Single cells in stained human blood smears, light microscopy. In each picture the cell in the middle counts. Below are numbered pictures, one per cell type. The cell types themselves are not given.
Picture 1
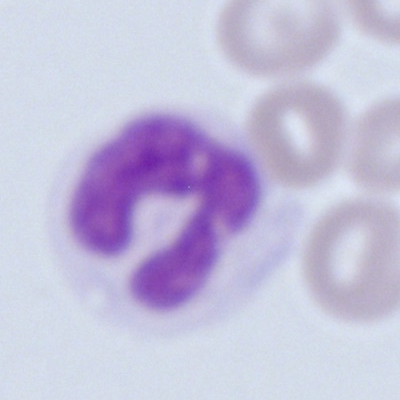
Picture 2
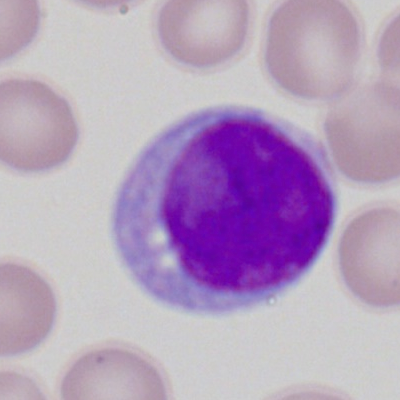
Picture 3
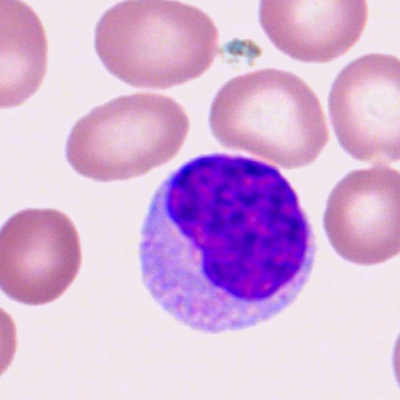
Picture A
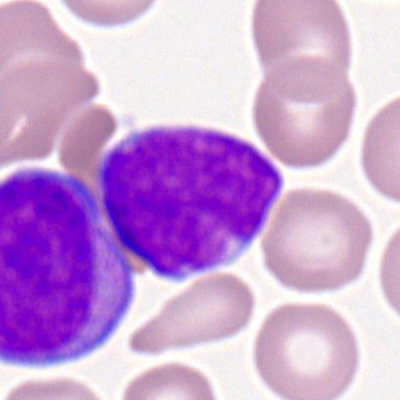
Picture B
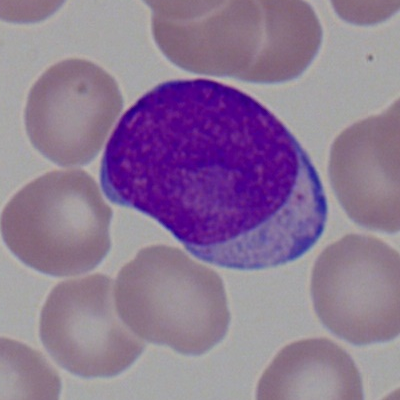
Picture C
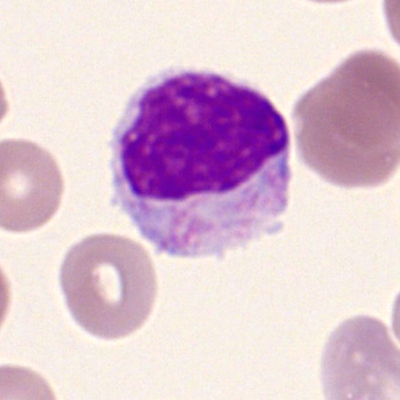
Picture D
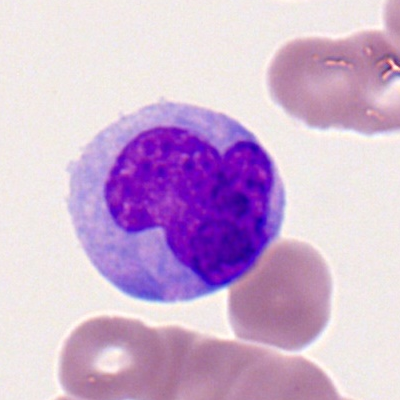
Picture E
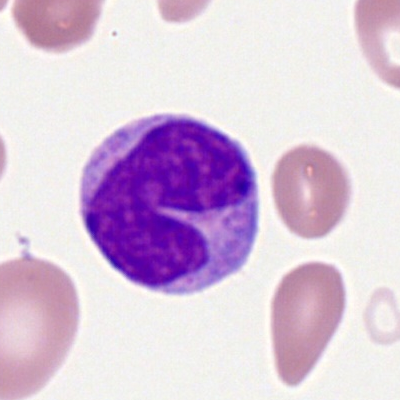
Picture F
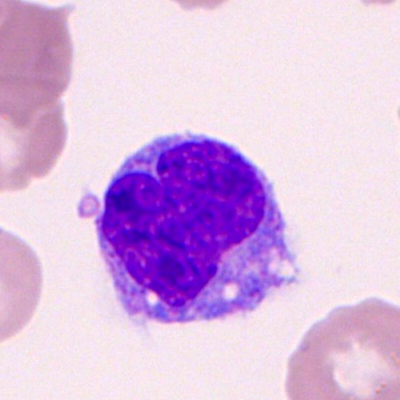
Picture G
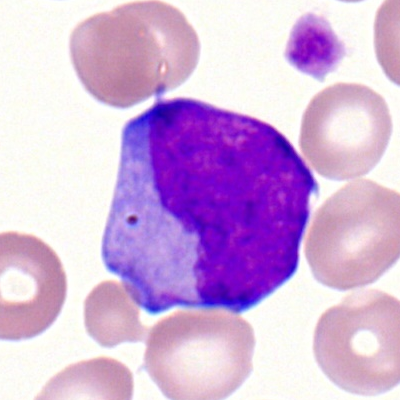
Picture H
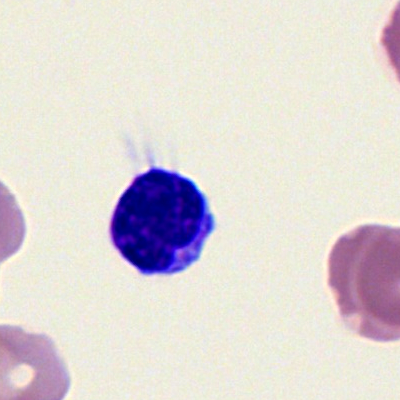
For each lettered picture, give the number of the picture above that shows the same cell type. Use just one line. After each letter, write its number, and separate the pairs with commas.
A 2, B 2, C 3, D 1, E 1, F 1, G 2, H 3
